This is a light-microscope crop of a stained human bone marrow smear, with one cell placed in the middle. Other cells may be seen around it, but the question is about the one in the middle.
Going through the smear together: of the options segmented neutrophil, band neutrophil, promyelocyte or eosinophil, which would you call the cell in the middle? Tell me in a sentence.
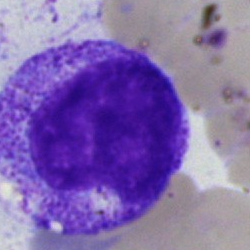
The cell the crop is centered on is a promyelocyte.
